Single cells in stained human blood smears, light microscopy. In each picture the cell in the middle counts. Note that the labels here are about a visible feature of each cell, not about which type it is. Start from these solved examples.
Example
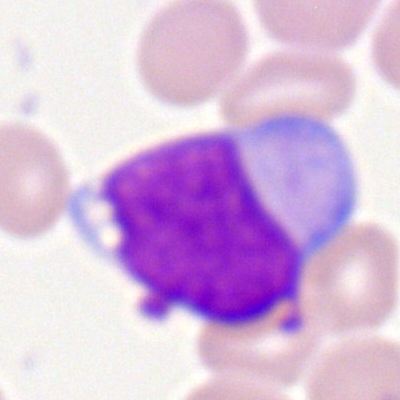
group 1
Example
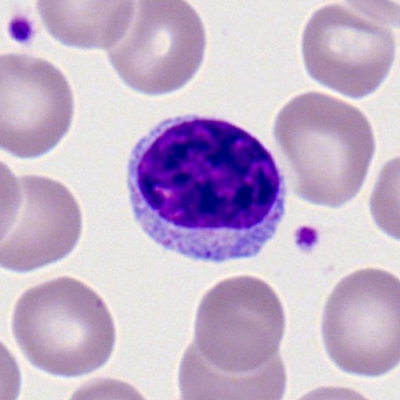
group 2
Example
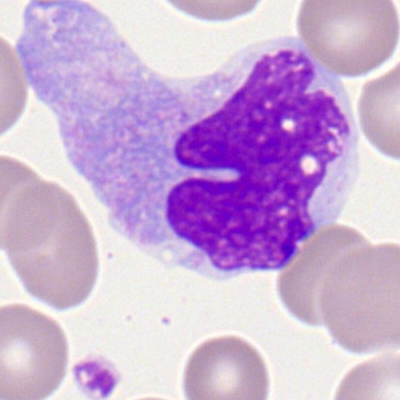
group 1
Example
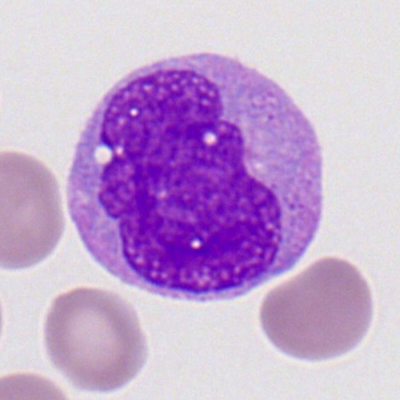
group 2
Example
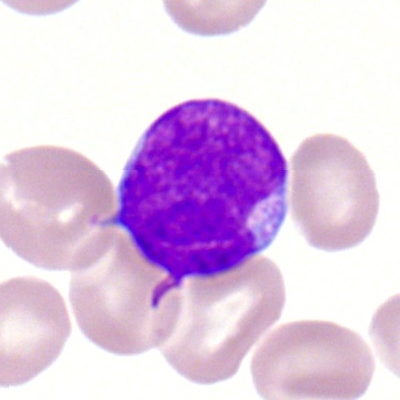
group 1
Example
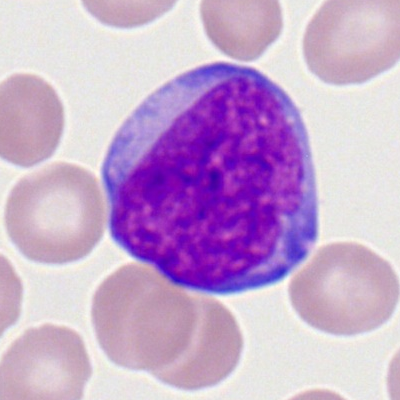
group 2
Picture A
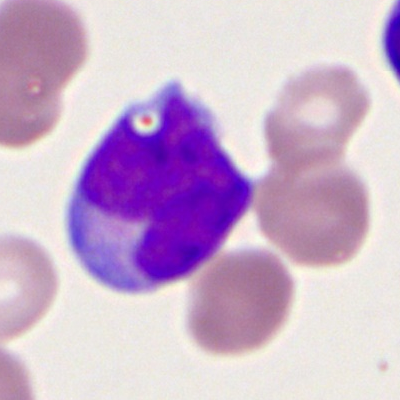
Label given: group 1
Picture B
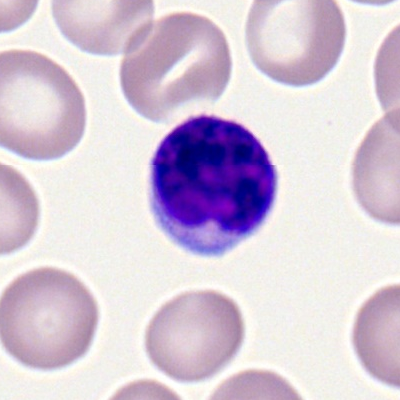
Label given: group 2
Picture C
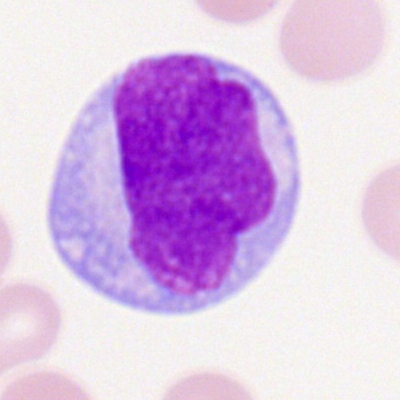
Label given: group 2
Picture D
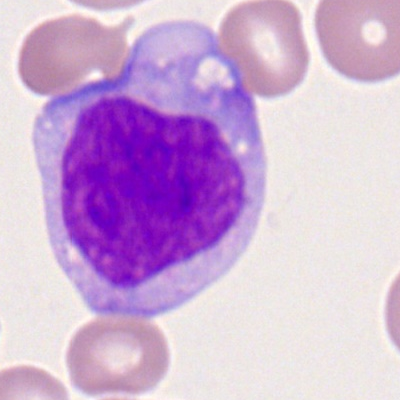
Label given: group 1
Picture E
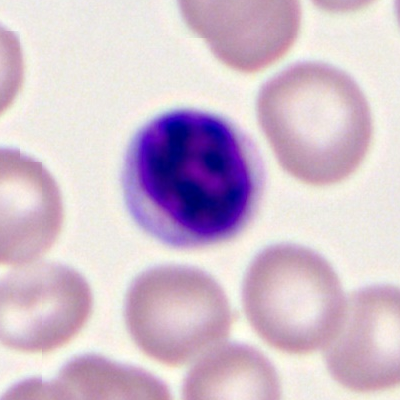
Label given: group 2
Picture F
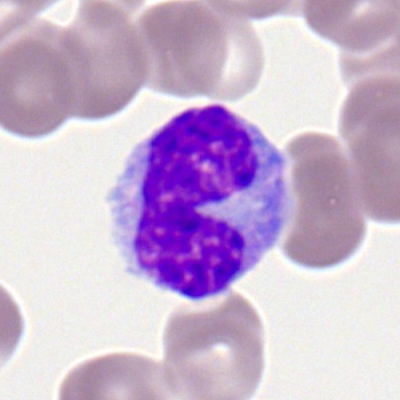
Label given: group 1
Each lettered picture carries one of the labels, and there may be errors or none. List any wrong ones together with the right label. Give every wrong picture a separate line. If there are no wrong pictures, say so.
None of the labels needs changing.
